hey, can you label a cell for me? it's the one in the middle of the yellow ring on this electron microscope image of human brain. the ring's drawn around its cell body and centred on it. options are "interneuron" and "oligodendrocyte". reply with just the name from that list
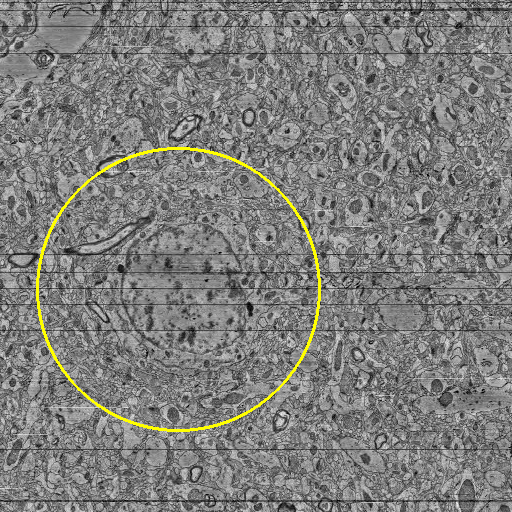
interneuron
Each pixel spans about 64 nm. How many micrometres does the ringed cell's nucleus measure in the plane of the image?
The nucleus of the ringed cell is approximately 9 micrometres across in this plane.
